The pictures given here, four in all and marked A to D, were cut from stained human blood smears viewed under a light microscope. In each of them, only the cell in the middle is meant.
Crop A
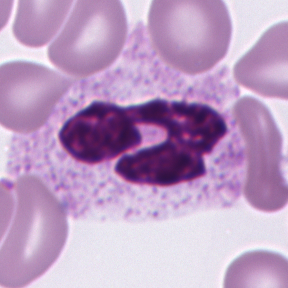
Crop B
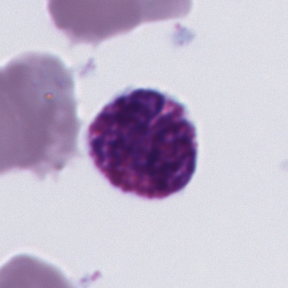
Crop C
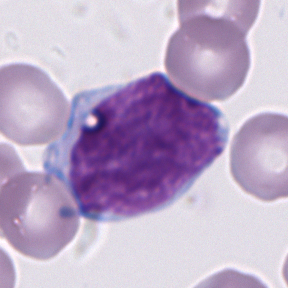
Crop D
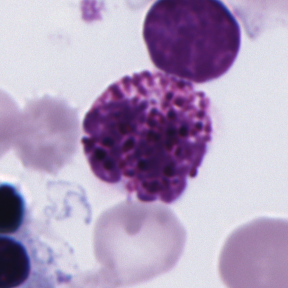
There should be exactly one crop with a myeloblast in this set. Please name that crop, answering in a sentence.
Crop C shows a myeloblast, and no other crop does.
